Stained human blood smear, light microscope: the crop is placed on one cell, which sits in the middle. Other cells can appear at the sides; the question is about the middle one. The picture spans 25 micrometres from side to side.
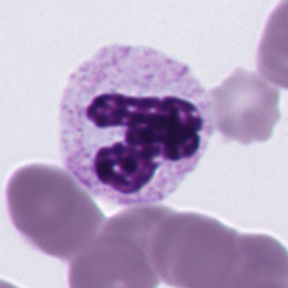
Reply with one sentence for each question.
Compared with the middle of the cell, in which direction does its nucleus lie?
The nucleus is pushed toward the lower right of the cell.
